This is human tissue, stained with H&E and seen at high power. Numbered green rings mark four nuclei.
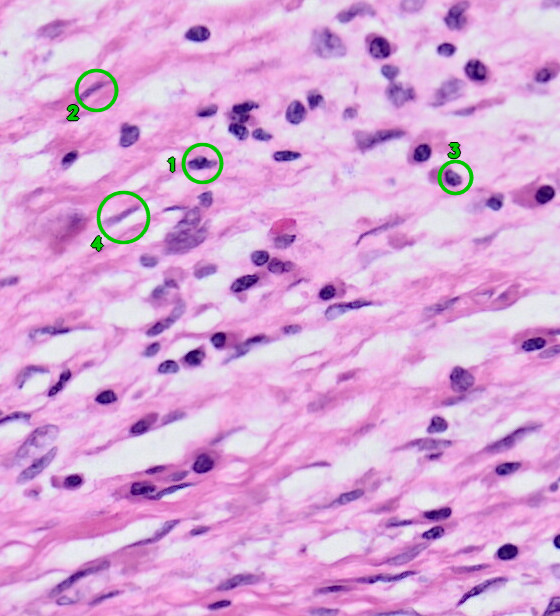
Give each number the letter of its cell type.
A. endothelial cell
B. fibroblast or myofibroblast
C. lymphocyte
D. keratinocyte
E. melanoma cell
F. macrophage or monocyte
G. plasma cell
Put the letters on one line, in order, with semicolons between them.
C; B; G; B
